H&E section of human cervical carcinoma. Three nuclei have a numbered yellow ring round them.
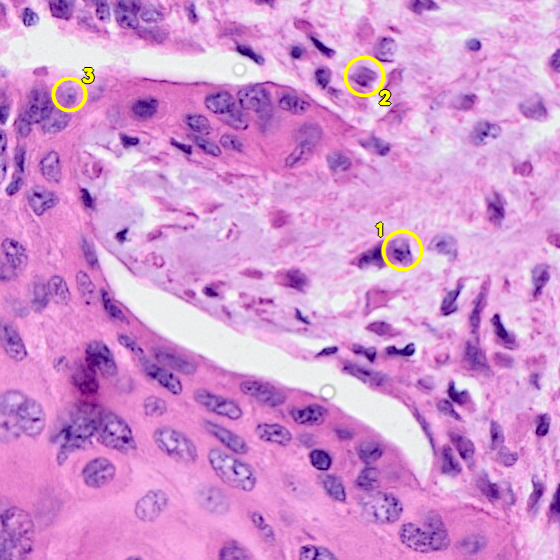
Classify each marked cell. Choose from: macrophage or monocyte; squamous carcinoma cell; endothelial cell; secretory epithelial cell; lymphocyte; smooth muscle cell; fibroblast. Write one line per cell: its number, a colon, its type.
1: macrophage or monocyte
2: fibroblast
3: squamous carcinoma cell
